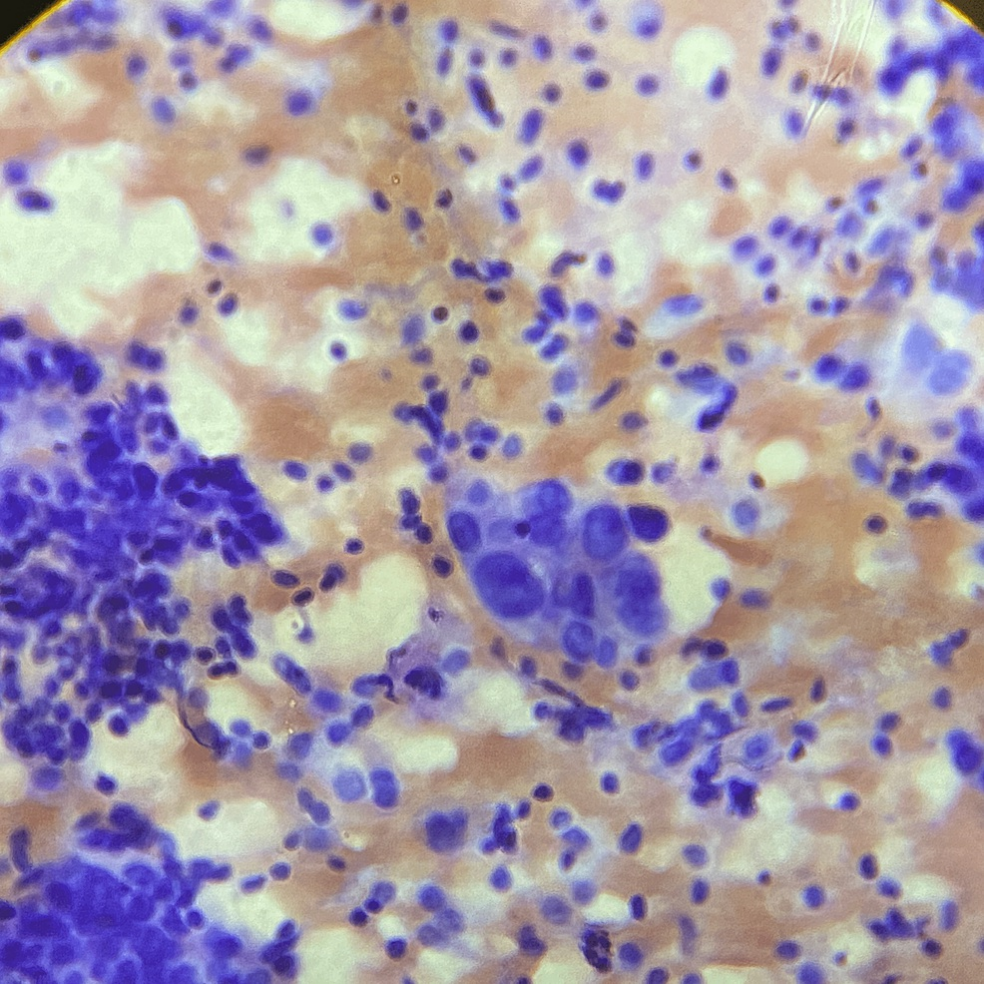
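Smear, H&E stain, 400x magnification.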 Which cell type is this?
Tumor cells.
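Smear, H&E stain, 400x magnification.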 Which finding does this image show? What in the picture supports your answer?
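Nuclei in the central cluster vary clearly in size and shape. Some large nuclei are several times the size of the surrounding small nuclei.
Marked nuclear pleomorphism.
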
